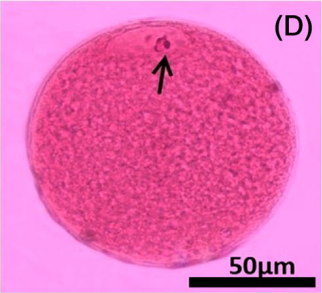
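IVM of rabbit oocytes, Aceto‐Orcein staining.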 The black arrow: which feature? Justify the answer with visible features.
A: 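First polar body. The arrow points to a small body with dark-stained dots at the top edge of the cell. The small body lies at the periphery, just inside the thin outer rim.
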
